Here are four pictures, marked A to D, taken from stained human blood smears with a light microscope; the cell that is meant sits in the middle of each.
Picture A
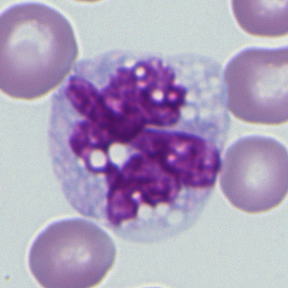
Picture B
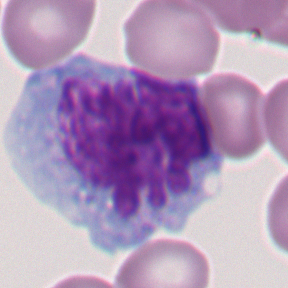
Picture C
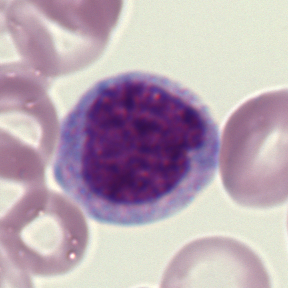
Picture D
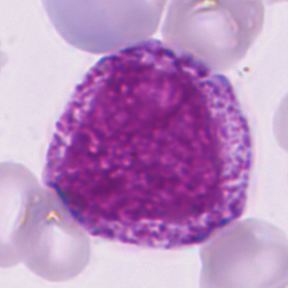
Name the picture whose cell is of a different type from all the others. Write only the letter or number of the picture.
D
